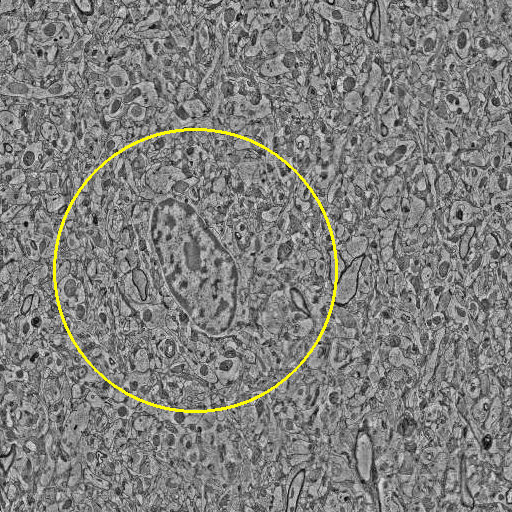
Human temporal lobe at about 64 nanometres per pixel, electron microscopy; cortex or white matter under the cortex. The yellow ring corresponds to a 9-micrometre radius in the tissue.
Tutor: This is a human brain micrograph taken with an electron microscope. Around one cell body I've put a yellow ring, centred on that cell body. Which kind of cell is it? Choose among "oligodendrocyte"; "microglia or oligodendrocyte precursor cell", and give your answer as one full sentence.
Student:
Going by your list, the cell centred in the yellow ring is a microglial cell or oligodendrocyte precursor cell.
